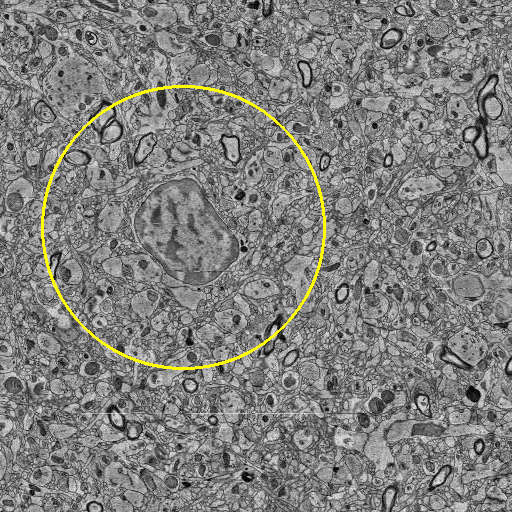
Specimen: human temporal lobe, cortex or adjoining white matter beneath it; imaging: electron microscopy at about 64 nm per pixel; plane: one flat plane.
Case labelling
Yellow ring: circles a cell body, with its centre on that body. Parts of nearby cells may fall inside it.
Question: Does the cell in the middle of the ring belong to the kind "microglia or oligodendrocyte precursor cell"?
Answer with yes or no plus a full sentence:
Yes, in this picture the cell in the middle of the yellow ring belongs to that kind.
